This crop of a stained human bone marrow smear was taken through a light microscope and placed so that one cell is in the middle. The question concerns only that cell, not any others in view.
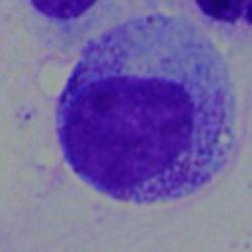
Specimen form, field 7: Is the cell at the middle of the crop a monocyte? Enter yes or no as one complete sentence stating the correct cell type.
No, the one in the center is not a monocyte; it is a myelocyte.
